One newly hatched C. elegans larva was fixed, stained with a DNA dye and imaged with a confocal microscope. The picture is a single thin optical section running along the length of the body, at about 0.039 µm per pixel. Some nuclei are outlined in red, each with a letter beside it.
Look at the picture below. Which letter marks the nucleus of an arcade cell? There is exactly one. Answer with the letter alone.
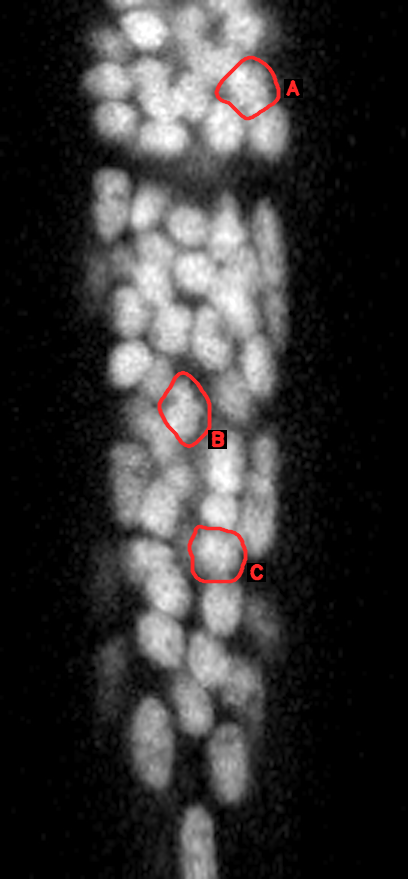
C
